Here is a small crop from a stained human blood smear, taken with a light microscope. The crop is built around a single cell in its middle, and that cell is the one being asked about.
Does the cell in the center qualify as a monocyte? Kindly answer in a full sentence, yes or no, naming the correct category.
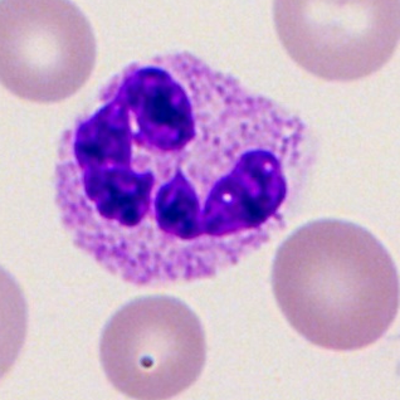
No, the centre of the crop contains a segmented neutrophil rather than a monocyte.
